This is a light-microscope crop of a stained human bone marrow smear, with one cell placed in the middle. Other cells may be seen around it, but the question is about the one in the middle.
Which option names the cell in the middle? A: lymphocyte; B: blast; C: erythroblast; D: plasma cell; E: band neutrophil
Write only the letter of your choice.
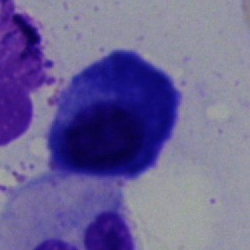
D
